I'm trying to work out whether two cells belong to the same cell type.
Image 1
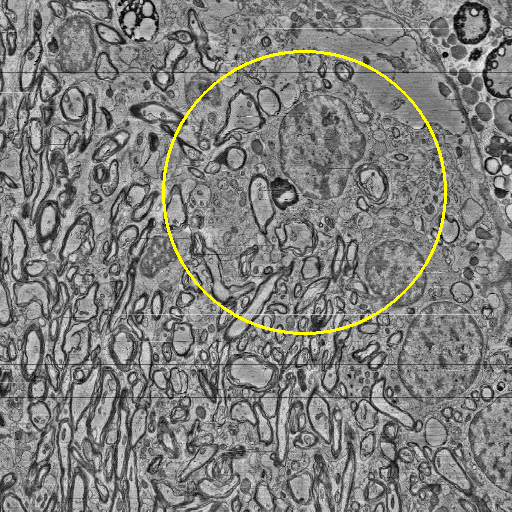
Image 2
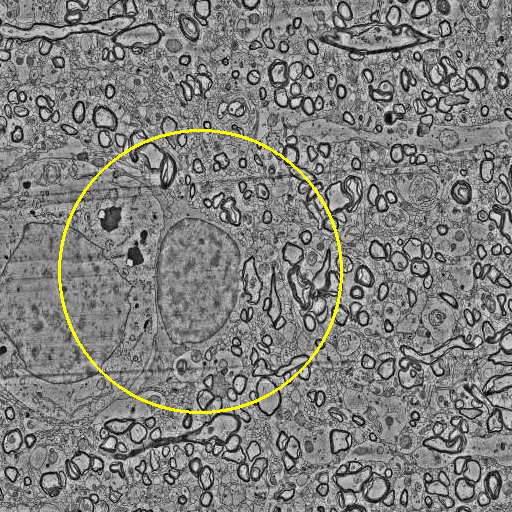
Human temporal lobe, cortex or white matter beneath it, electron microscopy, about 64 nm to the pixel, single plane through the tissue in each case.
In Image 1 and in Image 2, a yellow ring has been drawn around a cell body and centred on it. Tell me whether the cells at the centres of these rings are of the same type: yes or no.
yes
